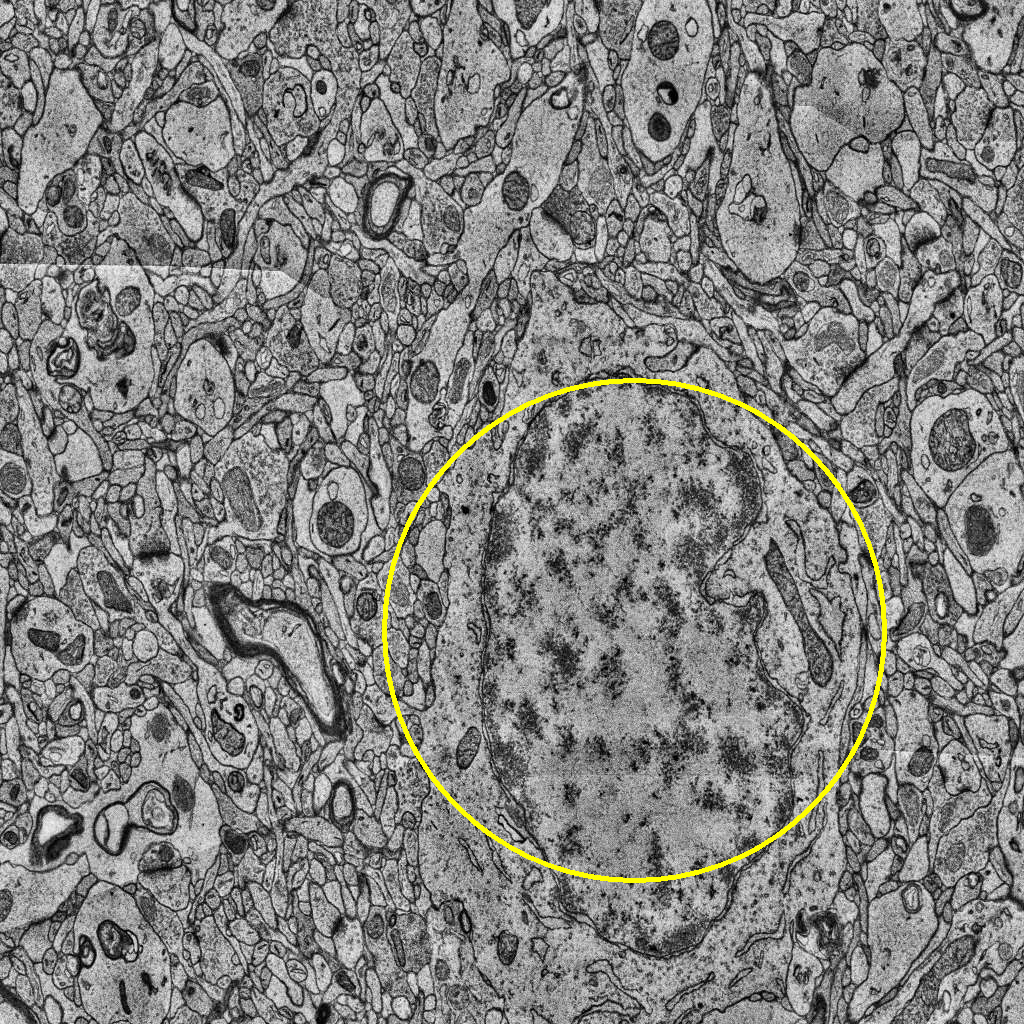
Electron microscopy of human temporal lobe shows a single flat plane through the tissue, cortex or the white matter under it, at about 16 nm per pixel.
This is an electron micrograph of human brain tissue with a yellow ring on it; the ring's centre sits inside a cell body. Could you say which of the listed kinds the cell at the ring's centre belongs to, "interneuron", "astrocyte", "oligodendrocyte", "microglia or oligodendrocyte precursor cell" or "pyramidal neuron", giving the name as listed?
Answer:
interneuron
